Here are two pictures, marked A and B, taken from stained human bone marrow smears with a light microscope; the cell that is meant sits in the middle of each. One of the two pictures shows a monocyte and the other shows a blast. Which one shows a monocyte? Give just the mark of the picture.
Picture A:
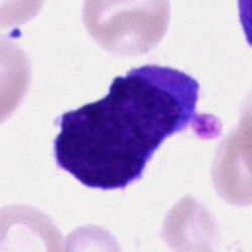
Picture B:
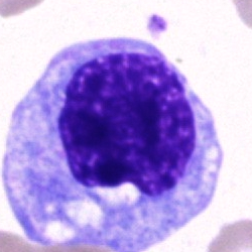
B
